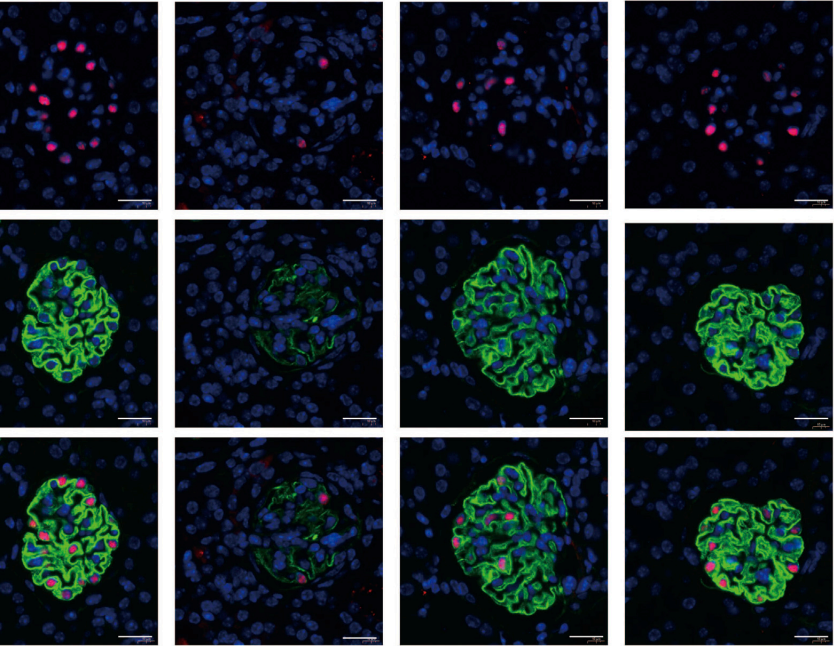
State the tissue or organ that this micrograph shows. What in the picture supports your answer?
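Glomeruli. Compact round tufts of convoluted, looping structures outlined in green.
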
